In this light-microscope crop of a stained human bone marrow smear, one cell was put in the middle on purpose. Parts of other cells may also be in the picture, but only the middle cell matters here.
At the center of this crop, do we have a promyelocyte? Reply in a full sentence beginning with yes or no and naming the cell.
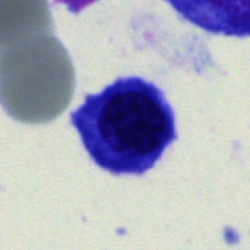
No, the centre cell is not a promyelocyte but a plasma cell.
